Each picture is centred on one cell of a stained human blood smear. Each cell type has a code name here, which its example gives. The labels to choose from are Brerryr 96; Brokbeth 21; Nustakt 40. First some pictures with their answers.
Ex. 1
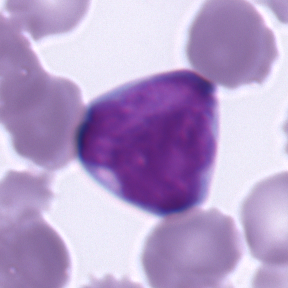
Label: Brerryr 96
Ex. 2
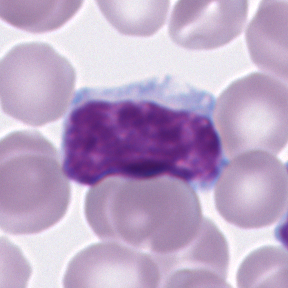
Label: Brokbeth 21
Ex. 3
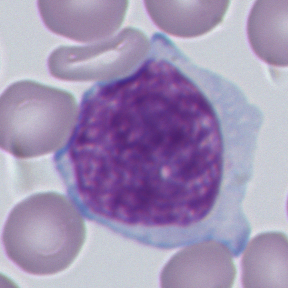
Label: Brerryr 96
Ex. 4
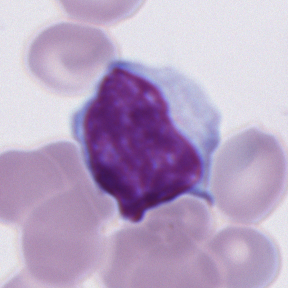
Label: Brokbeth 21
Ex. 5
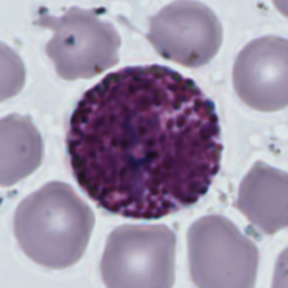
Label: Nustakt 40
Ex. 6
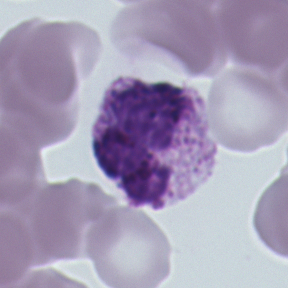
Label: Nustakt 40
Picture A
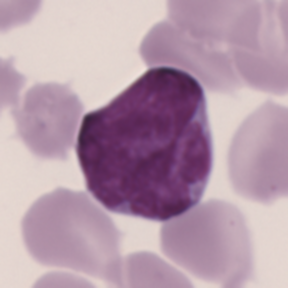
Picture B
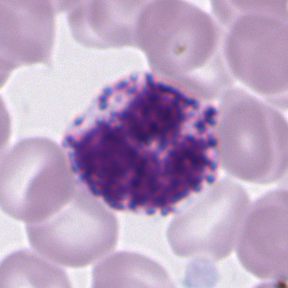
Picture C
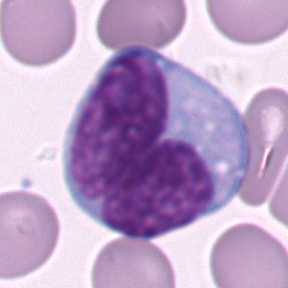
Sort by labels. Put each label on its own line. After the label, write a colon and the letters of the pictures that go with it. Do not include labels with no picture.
Brerryr 96: A, C
Nustakt 40: B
